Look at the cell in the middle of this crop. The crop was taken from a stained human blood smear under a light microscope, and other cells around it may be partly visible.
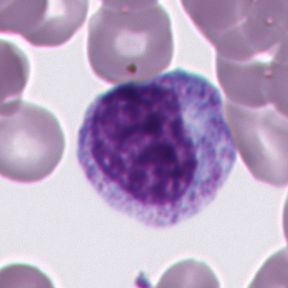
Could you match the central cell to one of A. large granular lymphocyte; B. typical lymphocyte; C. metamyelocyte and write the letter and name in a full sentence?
As the central cell is a metamyelocyte, option C is correct.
